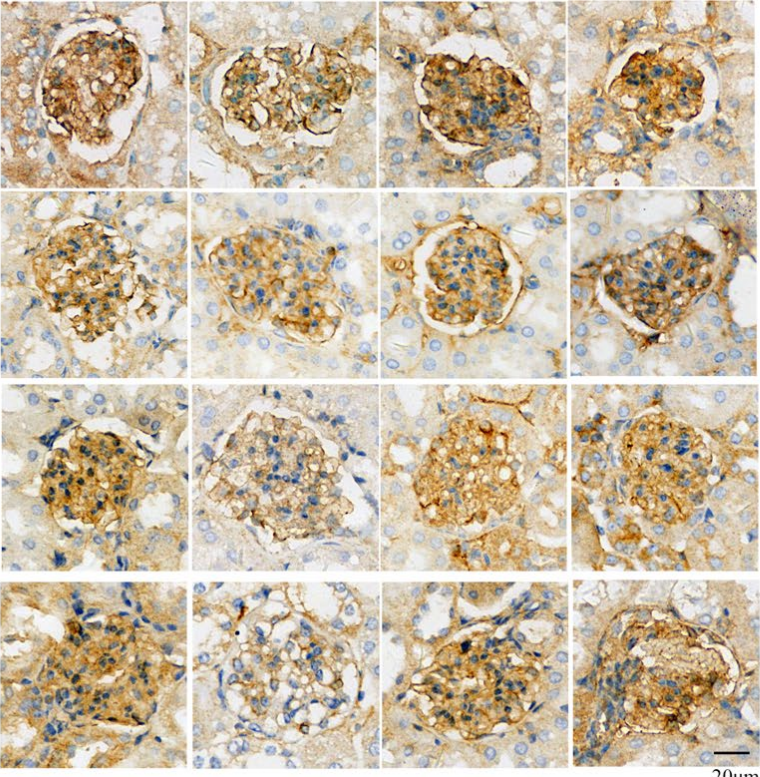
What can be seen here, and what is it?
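This is a grid of sections, each centred on a rounded glomerular tuft in a Bowman's space and surrounded by tubules whose cells have round blue nuclei. The tufts carry brown staining over a blue counterstain, and that brown is strong and dense in most tiles. In a few tiles the tuft is paler and looks more open and vacuolated, with less brown.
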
